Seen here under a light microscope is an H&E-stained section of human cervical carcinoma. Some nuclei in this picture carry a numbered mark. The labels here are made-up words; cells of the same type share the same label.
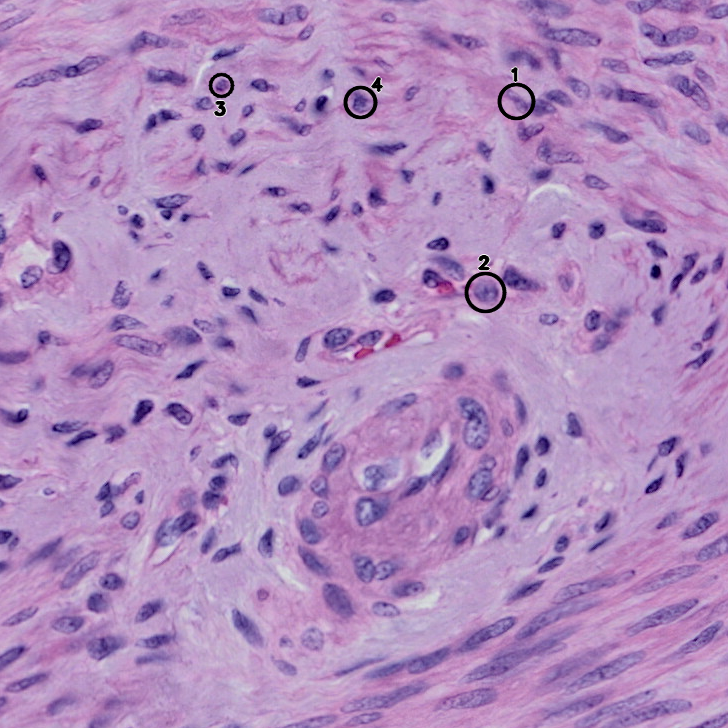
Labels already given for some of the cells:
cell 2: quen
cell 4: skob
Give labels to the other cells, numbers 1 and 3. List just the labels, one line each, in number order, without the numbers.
skob
skob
